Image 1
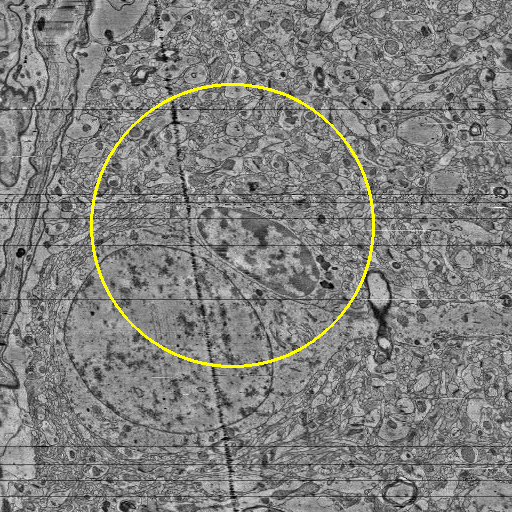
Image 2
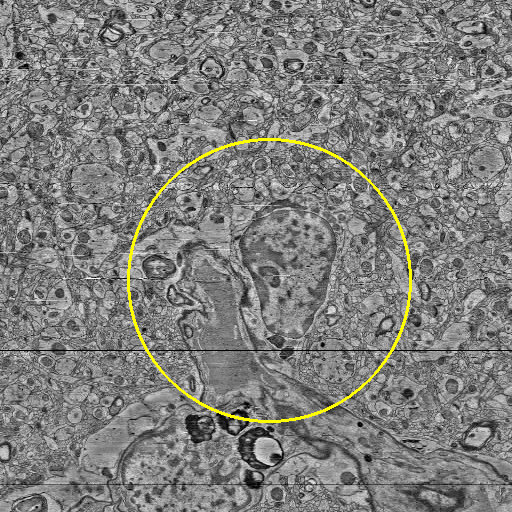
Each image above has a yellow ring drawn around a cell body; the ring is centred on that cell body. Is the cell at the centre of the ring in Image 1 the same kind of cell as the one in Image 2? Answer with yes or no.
yes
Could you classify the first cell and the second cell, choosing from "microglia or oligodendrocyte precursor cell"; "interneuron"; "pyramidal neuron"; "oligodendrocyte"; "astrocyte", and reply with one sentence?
Each of the two rings is centred on a microglial cell or oligodendrocyte precursor cell.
